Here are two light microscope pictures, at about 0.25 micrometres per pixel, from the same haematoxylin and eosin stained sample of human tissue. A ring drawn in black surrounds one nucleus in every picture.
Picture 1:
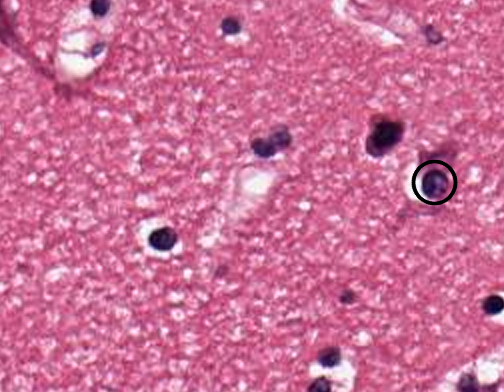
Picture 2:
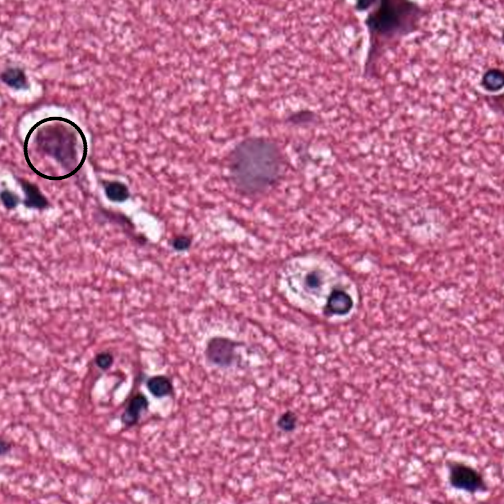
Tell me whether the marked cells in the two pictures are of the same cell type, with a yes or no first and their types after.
No, the first is an oligodendrocyte and the second a neuron.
